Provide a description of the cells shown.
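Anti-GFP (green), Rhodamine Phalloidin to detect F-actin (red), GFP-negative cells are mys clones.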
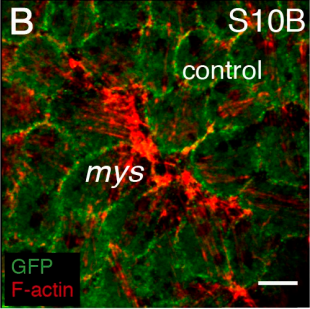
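This is a sheet of follicular epithelium seen from its basal surface, a tightly packed layer of polygonal cells. Most cells carry green signal in their cytoplasm, with their borders faintly visible. Red fibres run in roughly parallel bundles across the basal surface of the green cells. In the centre a patch of cells lacks green, and around and within it the red signal gathers into bright, irregular clumps. The fibres of the surrounding cells appear to point towards this central patch rather than lying in one common direction.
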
